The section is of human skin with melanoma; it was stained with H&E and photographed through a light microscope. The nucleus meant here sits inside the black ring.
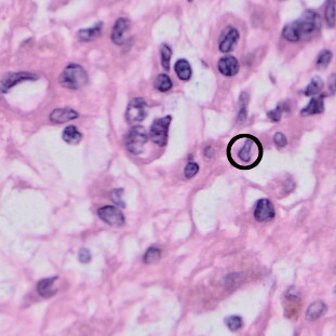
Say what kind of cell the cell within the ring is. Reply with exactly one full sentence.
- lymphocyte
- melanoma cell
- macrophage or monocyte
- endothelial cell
The expected answer is simply that the cell within the ring is a macrophage or monocyte.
